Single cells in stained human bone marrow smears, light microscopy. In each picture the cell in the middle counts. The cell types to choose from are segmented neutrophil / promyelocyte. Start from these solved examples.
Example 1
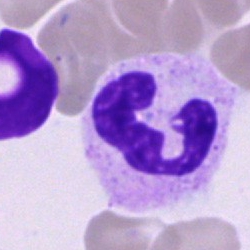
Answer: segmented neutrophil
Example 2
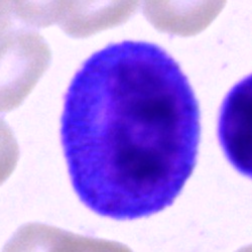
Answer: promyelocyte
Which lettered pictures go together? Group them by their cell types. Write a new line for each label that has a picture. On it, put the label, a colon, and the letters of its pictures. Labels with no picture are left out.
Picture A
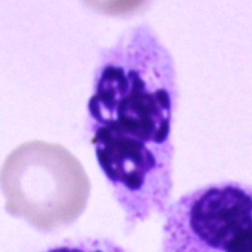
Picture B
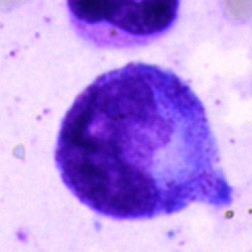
segmented neutrophil: A
promyelocyte: B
